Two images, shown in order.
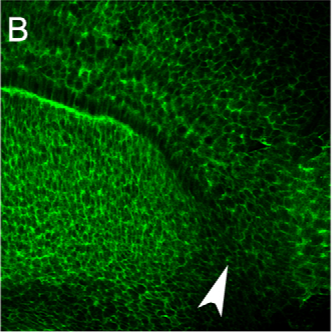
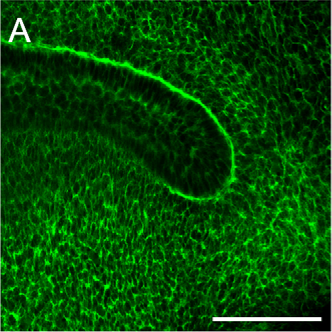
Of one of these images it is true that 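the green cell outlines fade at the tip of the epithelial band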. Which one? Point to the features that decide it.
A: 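First image: the green outlines are faint at the lower right end of the band where the arrowhead points. Second image: a bright green line outlines the band right around its rounded tip.
The first image.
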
